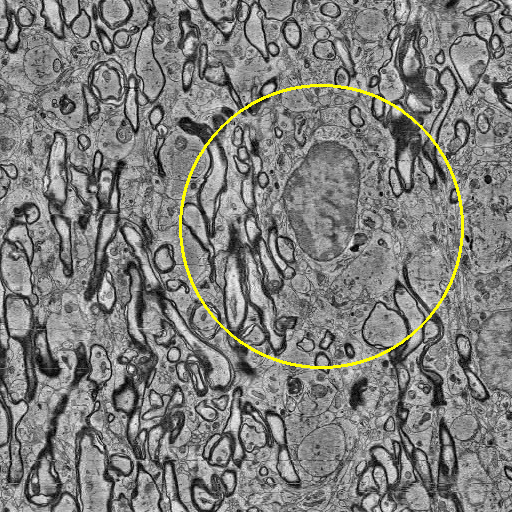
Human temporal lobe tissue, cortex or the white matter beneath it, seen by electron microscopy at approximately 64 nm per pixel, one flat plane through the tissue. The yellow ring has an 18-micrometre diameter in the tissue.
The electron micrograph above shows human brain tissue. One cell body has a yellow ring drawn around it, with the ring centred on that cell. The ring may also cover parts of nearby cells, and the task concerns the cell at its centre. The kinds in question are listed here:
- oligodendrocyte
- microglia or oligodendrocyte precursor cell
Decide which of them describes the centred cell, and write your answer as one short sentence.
The centred cell is a microglial cell or oligodendrocyte precursor cell.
